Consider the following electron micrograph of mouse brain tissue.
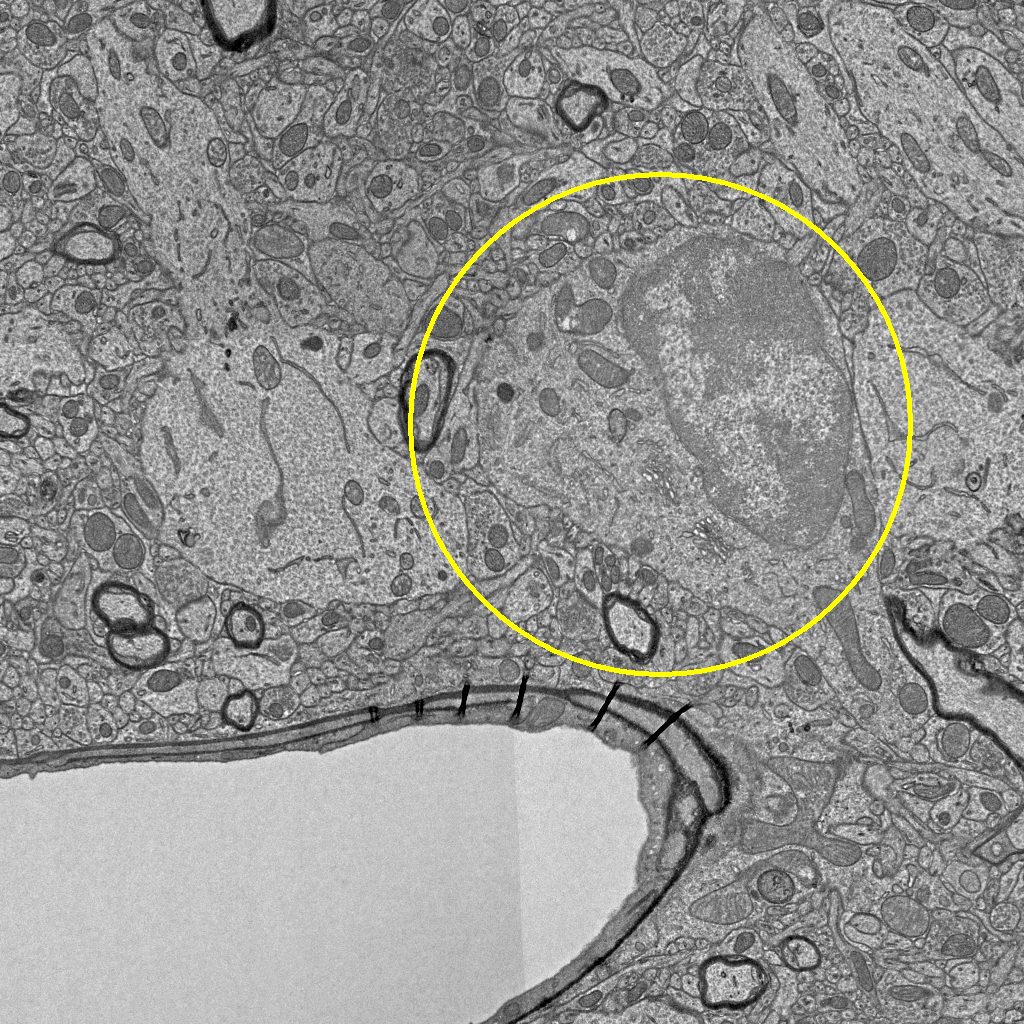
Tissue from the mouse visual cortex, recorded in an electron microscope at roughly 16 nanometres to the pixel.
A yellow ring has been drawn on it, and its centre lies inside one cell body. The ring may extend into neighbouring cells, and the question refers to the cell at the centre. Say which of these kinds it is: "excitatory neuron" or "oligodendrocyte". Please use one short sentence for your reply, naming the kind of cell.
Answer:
The centre of the ring falls on an oligodendrocyte.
